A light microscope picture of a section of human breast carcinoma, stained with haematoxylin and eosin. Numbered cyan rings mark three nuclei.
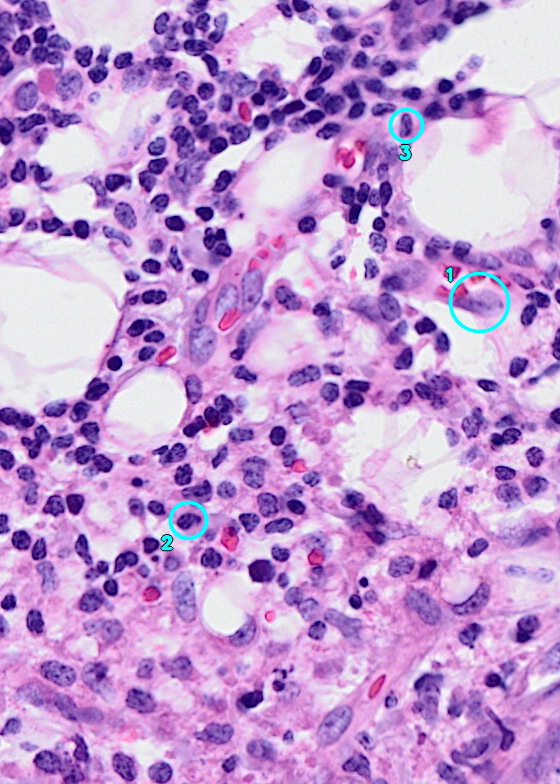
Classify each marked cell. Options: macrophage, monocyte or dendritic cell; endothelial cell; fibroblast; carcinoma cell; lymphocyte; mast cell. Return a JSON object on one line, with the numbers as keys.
{"1": "endothelial cell", "2": "lymphocyte", "3": "lymphocyte"}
